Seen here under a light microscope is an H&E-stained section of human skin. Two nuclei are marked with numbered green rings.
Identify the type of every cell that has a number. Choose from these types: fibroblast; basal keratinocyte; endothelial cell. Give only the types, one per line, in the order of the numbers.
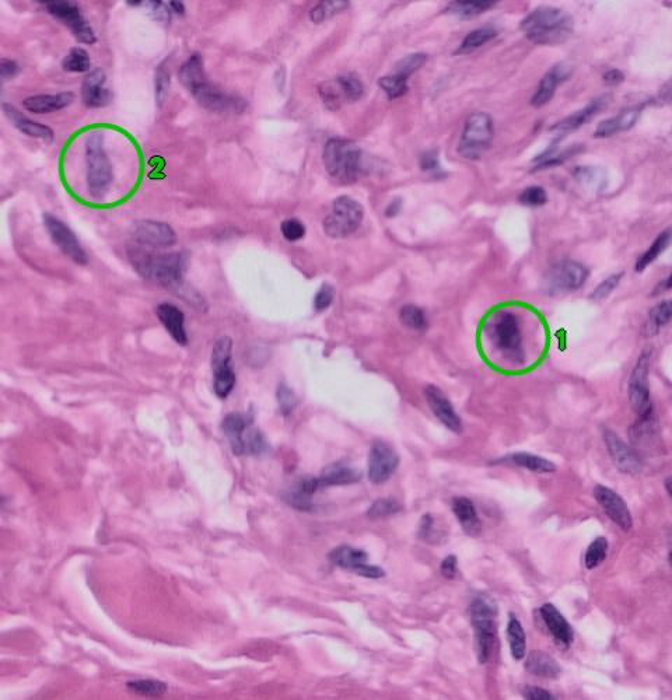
fibroblast
endothelial cell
